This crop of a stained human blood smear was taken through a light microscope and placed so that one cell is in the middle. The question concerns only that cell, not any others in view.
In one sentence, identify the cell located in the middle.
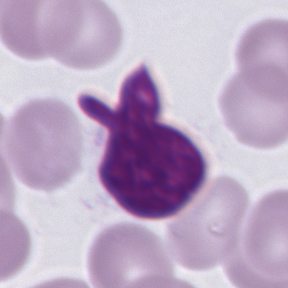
The center cell of this crop is a smudge cell.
